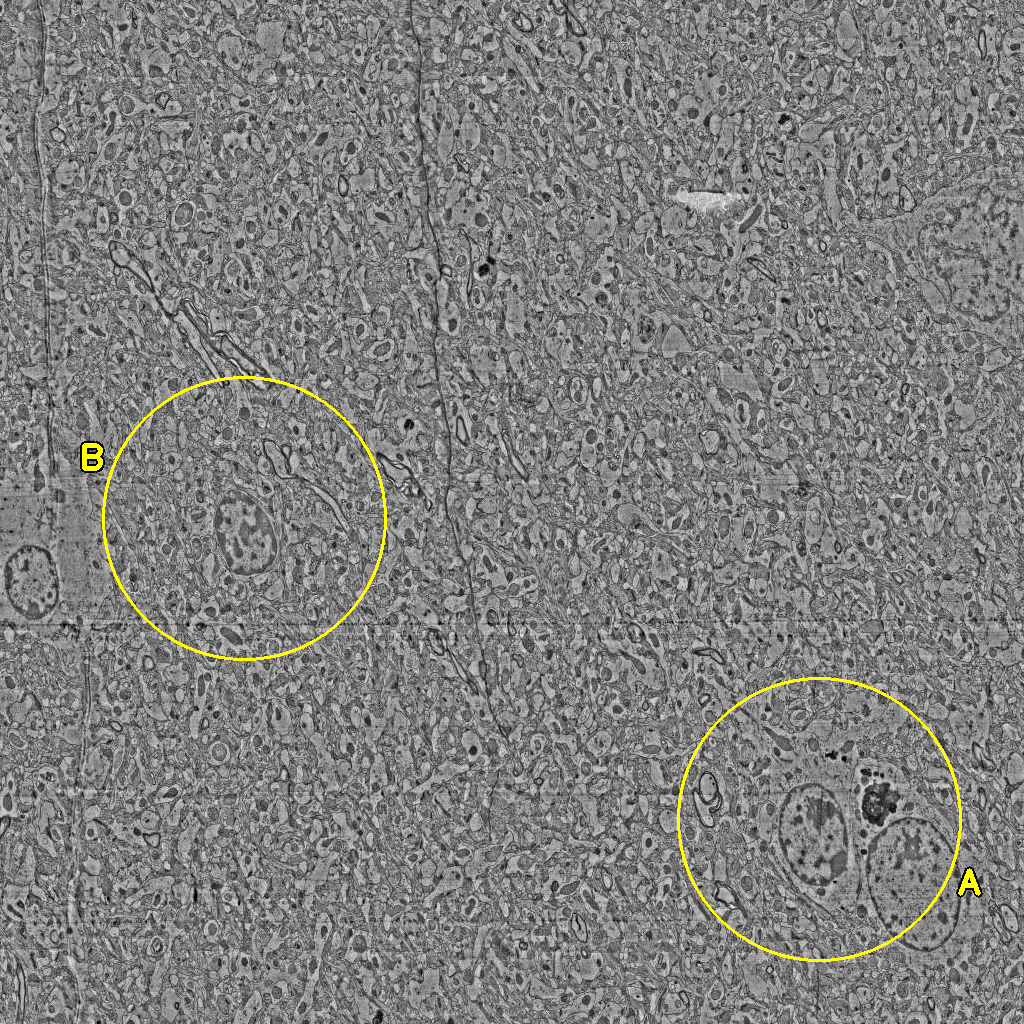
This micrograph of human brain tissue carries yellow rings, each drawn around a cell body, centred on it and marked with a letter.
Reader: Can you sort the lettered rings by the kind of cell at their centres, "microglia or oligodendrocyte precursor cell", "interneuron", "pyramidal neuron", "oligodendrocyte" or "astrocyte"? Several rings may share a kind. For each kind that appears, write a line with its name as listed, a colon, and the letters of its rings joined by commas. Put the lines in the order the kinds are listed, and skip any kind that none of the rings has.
microglia or oligodendrocyte precursor cell: B
astrocyte: A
